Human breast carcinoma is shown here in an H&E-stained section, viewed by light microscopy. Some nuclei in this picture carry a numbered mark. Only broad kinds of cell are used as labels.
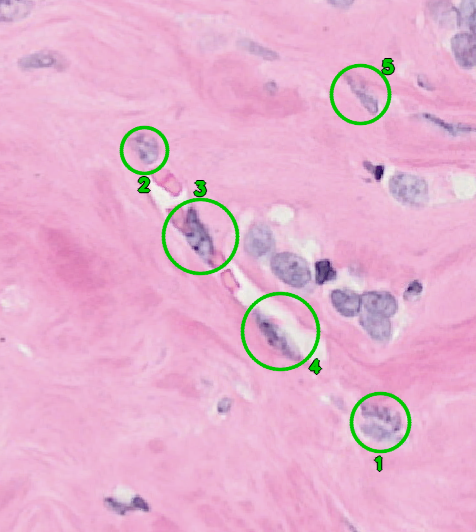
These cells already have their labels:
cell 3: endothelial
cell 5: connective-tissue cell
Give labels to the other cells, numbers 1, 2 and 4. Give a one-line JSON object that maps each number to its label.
{"1": "connective-tissue cell", "2": "endothelial", "4": "endothelial"}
